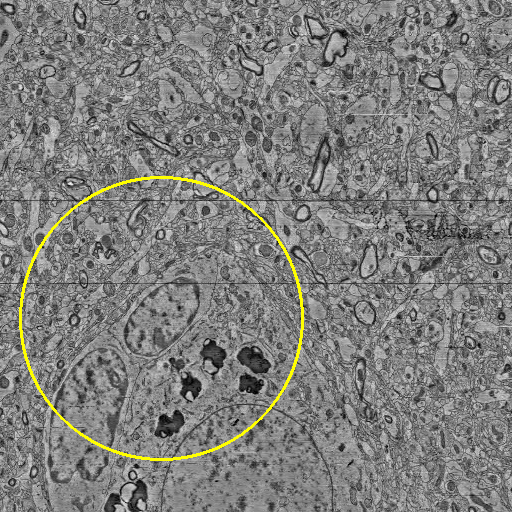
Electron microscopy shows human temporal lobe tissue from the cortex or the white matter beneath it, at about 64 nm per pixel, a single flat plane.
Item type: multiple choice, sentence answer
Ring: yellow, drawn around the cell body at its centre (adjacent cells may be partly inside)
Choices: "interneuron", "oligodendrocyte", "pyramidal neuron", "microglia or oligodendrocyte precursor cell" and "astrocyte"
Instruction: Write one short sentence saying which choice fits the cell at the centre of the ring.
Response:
This ring is drawn around a microglial cell or oligodendrocyte precursor cell.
